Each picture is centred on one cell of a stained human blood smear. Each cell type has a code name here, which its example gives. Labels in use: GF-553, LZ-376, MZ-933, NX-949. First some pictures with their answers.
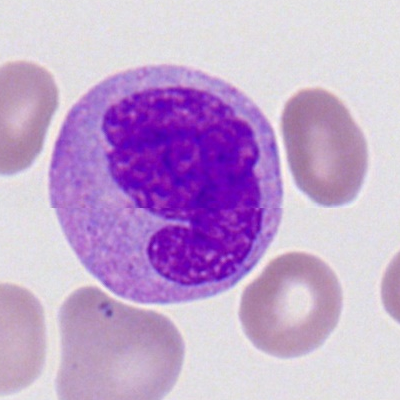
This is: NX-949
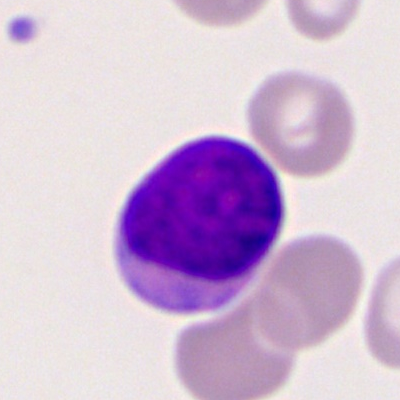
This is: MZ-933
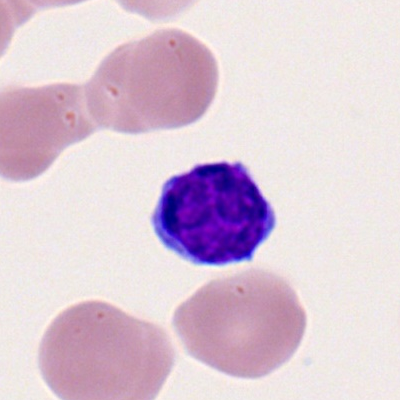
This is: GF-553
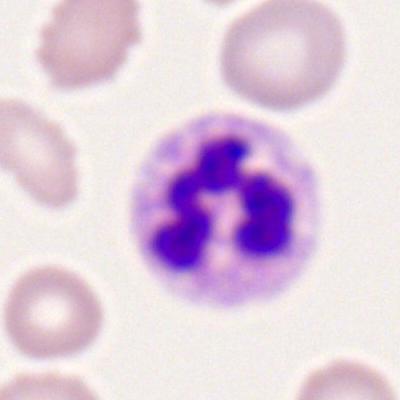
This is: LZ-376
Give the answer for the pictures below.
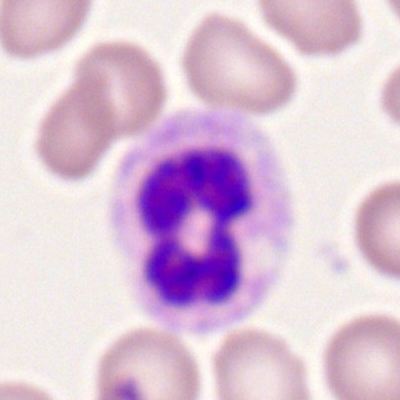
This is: LZ-376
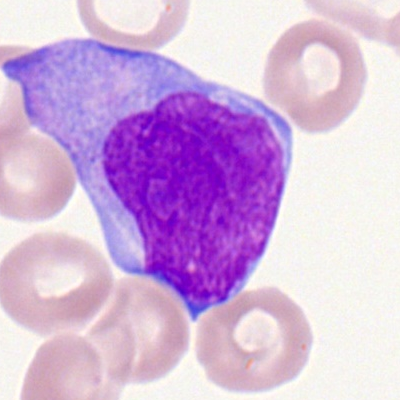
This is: MZ-933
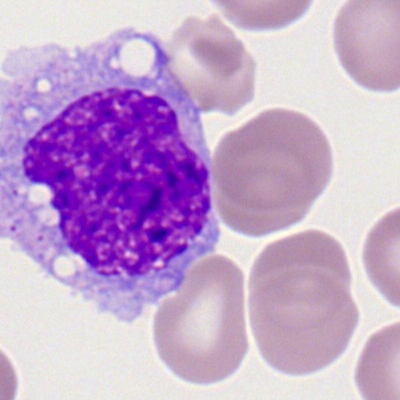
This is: NX-949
